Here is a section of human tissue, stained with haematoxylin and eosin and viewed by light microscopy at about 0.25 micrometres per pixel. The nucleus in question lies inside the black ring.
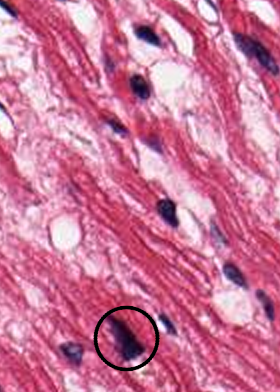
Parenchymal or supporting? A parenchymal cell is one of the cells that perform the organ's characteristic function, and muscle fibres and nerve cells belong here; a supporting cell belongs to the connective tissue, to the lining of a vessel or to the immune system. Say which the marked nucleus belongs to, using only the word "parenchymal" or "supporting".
parenchymal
